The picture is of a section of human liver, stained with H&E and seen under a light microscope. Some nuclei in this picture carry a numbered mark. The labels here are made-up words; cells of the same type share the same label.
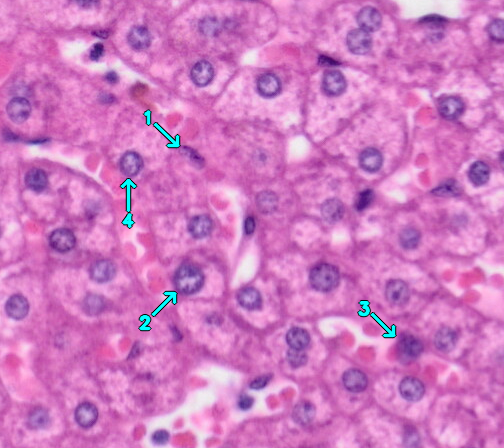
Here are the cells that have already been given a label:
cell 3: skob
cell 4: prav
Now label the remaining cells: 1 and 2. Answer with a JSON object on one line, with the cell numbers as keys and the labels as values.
{"1": "skob", "2": "prav"}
